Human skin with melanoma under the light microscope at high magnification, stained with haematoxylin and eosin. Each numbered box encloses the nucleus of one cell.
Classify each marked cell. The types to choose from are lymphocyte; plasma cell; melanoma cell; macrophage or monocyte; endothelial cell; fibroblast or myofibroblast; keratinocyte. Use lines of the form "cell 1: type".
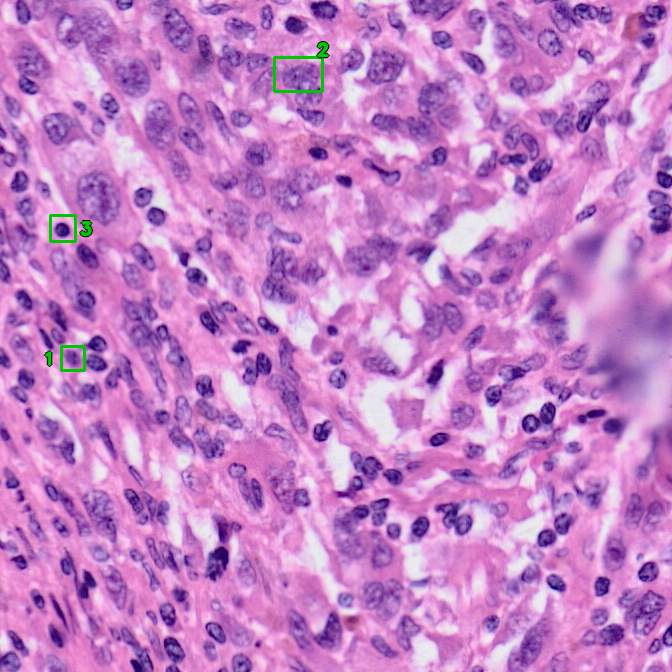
cell 1: plasma cell
cell 2: melanoma cell
cell 3: lymphocyte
